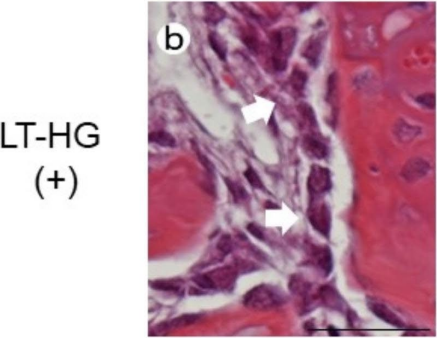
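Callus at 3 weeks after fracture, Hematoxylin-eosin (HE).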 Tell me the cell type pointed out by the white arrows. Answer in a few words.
Osteoblasts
